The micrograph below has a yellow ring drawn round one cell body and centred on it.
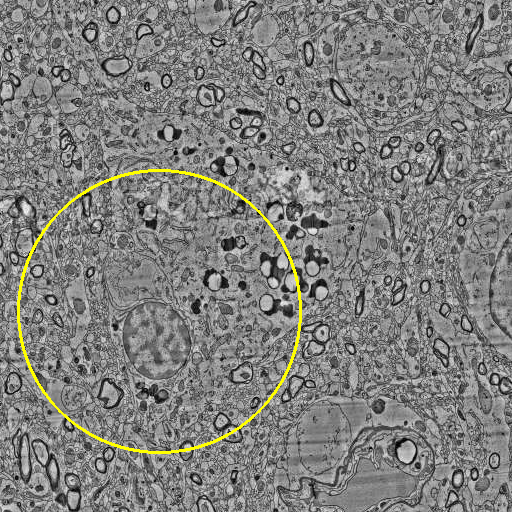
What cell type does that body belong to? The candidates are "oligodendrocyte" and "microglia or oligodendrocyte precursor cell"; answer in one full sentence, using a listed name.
This is a microglial cell or oligodendrocyte precursor cell, the cell whose body lies at the centre of the ring.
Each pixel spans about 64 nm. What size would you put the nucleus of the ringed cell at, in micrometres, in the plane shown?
In this plane, approximately 5 by 4 micrometers.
